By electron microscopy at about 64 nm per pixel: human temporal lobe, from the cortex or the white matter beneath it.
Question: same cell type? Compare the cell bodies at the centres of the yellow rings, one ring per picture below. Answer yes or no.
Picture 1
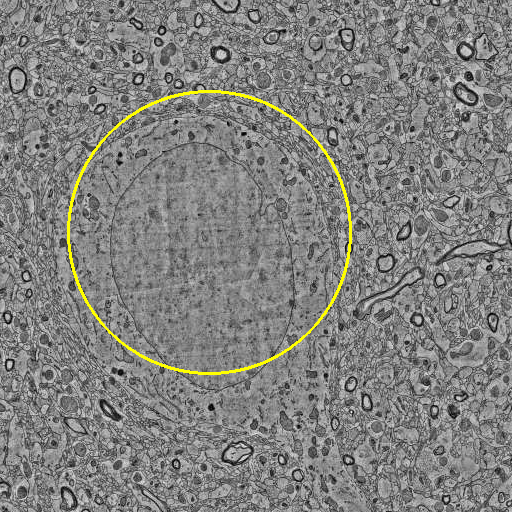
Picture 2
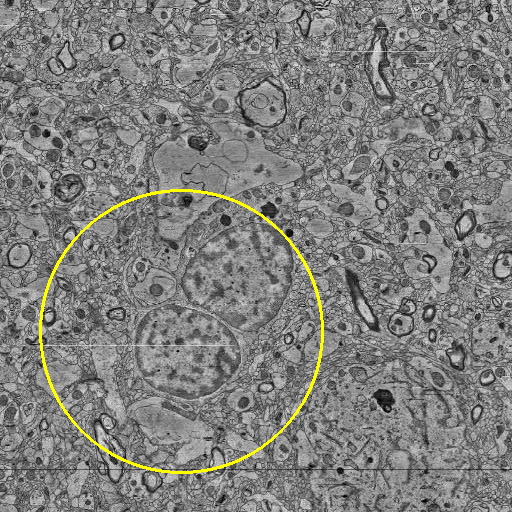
no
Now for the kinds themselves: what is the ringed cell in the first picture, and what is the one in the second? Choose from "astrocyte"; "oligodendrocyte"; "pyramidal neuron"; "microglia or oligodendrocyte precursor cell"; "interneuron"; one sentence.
Here the first cell is a pyramidal neuron and the second cell is an oligodendrocyte.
